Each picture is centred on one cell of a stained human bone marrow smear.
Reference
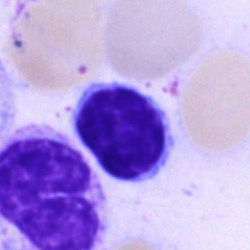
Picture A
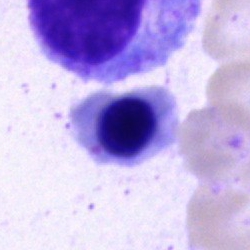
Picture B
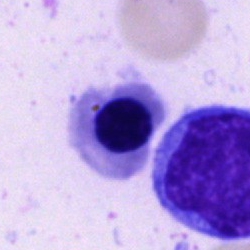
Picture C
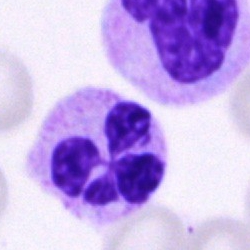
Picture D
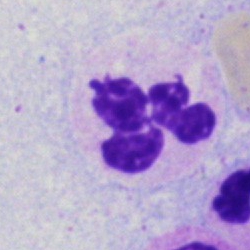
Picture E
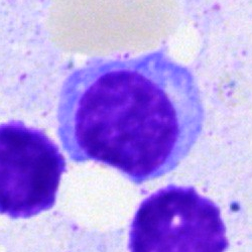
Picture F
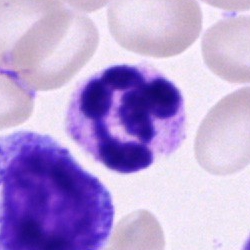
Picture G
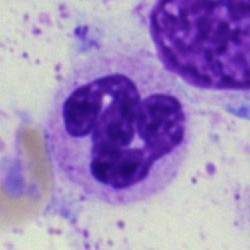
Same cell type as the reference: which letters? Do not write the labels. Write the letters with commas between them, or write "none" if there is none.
E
